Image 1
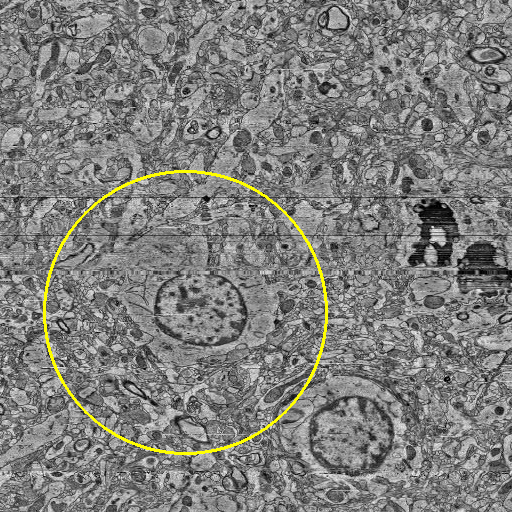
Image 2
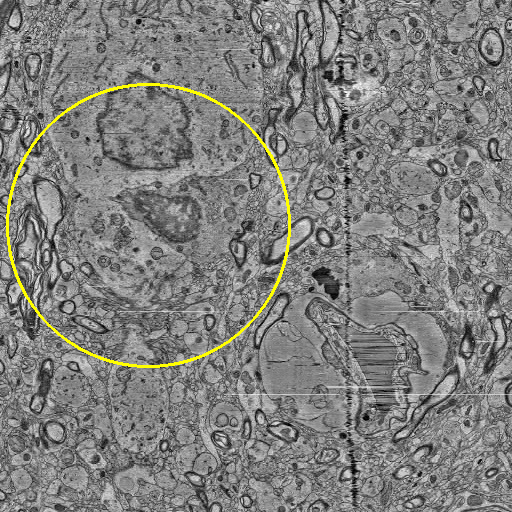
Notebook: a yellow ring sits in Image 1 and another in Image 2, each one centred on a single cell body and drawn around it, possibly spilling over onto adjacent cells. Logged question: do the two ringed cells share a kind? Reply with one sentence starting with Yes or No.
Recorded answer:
No, the centre cells inside the rings of Image 1 and Image 2 are of two kinds.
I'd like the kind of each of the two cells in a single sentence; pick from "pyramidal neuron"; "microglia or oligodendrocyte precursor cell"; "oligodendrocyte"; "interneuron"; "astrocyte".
The first ring marks an astrocyte, and the second ring marks an oligodendrocyte.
